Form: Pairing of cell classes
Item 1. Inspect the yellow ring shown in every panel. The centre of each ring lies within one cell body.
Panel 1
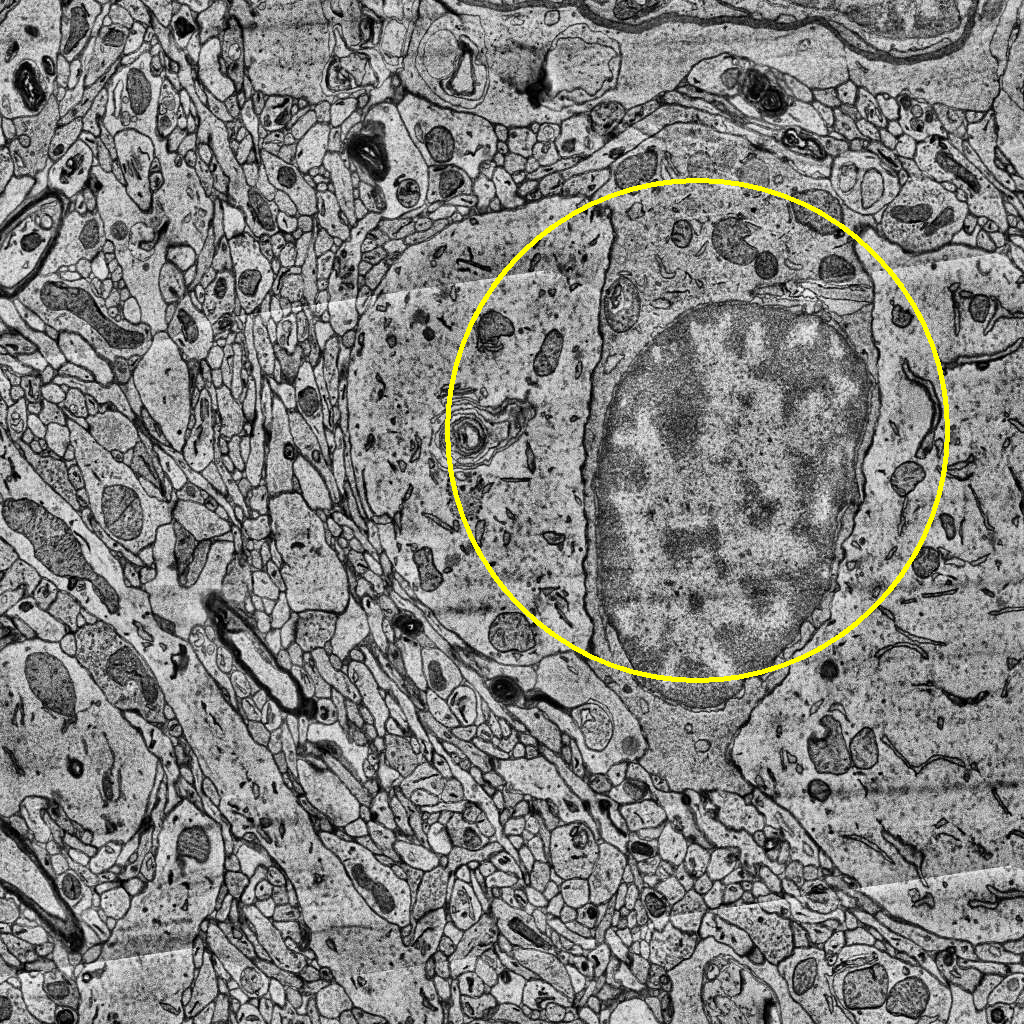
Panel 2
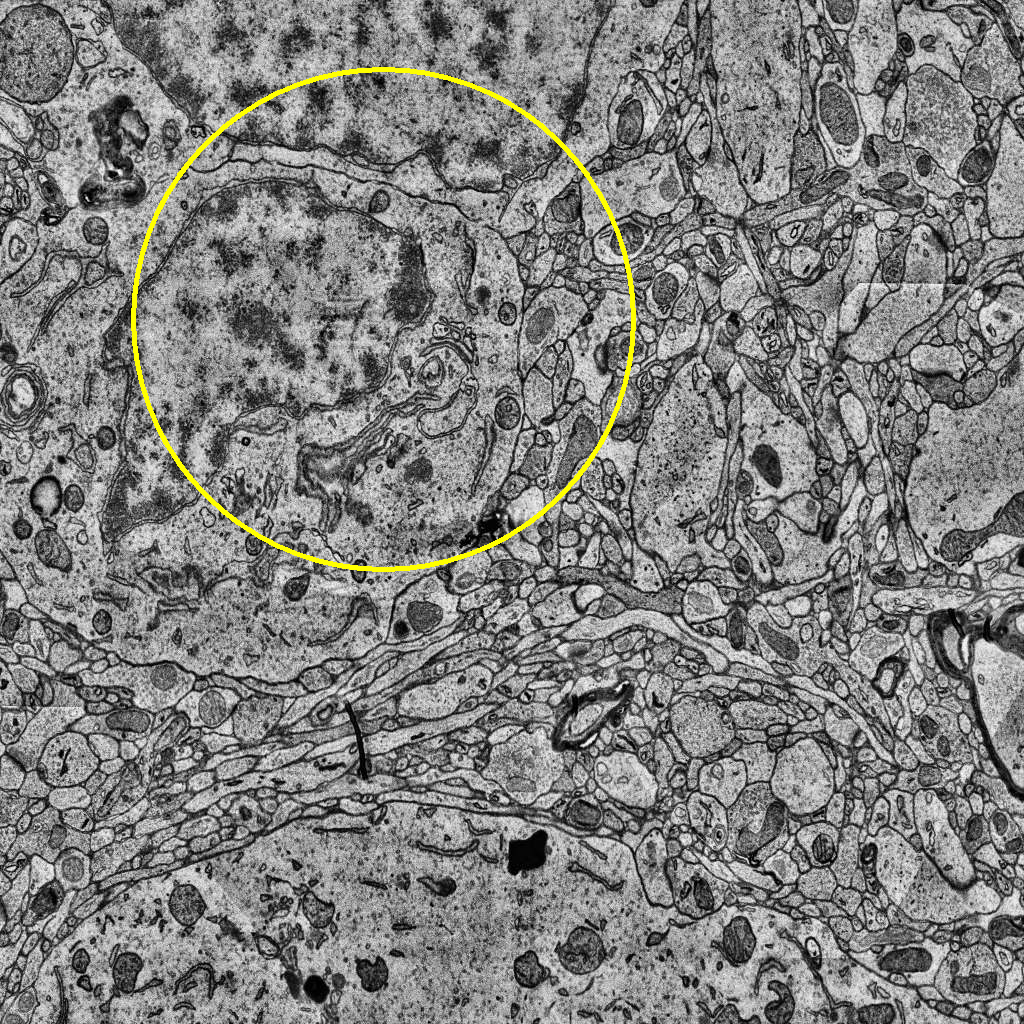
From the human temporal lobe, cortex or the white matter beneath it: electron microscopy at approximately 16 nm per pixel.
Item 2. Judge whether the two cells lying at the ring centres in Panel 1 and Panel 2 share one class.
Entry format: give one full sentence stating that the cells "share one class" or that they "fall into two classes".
The cells at the ring centres in Panel 1 and Panel 2 fall into two classes.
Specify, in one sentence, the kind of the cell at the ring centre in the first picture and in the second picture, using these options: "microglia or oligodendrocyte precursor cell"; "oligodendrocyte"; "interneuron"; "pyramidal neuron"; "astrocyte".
The first cell is an oligodendrocyte; the second is an interneuron.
